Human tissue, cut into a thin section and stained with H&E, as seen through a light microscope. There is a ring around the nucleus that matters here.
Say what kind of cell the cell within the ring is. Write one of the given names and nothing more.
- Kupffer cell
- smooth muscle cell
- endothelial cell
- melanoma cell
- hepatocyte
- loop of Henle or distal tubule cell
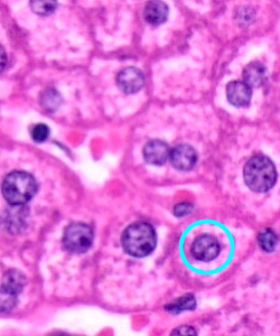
hepatocyte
